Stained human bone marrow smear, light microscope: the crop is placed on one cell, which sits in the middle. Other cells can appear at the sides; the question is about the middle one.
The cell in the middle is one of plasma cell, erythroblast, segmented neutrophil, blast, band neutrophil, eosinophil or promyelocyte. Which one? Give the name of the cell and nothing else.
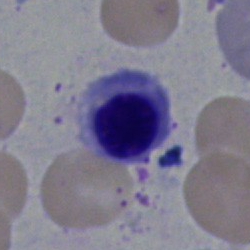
erythroblast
